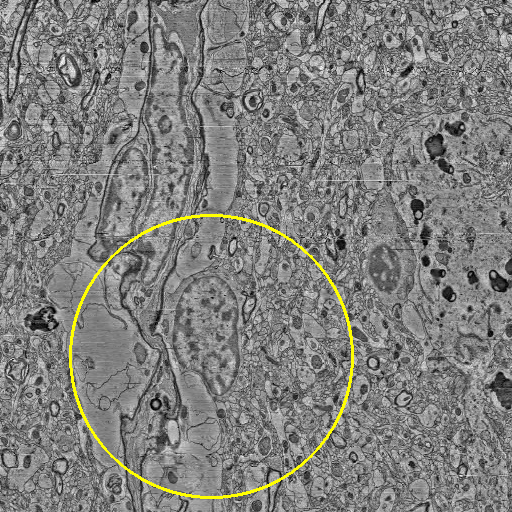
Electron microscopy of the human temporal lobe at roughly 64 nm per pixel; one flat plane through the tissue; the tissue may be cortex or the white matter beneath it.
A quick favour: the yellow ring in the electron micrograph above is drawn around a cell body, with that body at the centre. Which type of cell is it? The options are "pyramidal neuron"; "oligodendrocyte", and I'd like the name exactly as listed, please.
oligodendrocyte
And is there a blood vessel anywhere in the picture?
Yes, a blood vessel can be seen.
